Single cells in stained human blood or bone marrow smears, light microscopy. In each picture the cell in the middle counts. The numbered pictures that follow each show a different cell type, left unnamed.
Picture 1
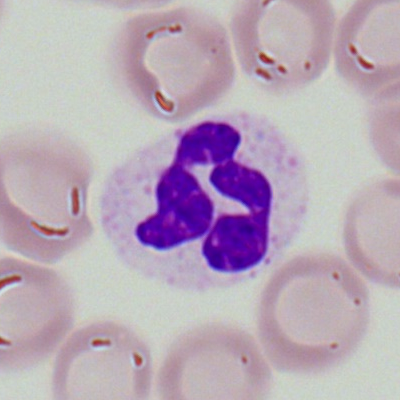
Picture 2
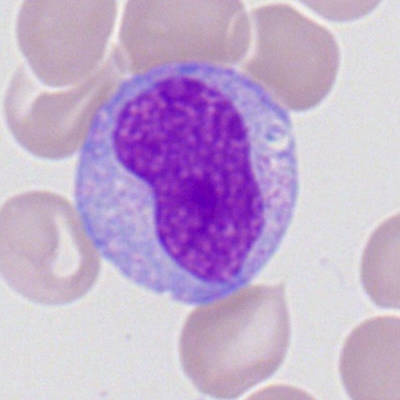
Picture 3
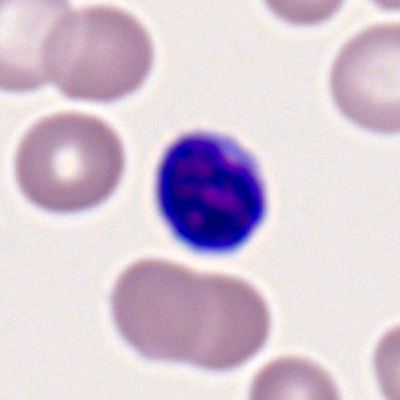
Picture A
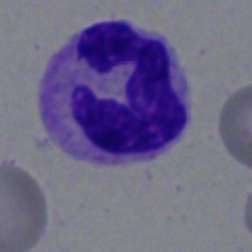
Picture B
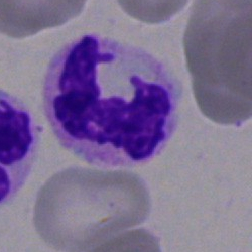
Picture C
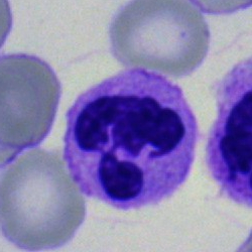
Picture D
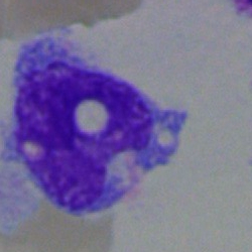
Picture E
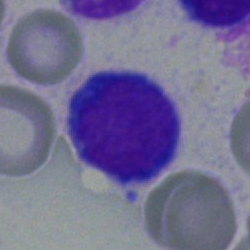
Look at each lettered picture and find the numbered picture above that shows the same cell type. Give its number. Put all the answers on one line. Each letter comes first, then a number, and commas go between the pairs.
A 1, B 1, C 1, D 2, E 3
